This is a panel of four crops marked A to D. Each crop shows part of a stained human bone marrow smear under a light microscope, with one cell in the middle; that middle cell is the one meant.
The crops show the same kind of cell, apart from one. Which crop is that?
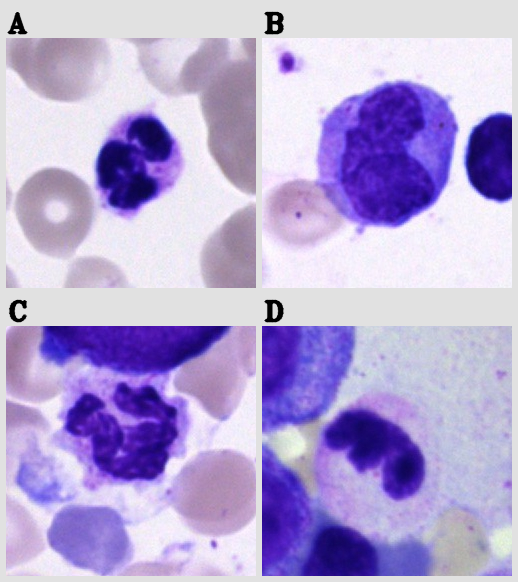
B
